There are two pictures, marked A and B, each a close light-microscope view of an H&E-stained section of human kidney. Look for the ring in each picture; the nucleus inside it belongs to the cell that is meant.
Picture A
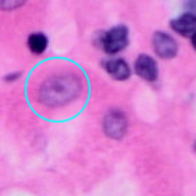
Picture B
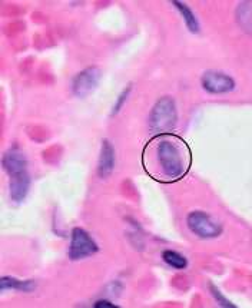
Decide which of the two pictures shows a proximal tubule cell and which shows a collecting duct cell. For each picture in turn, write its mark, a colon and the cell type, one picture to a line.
A: proximal tubule cell
B: collecting duct cell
